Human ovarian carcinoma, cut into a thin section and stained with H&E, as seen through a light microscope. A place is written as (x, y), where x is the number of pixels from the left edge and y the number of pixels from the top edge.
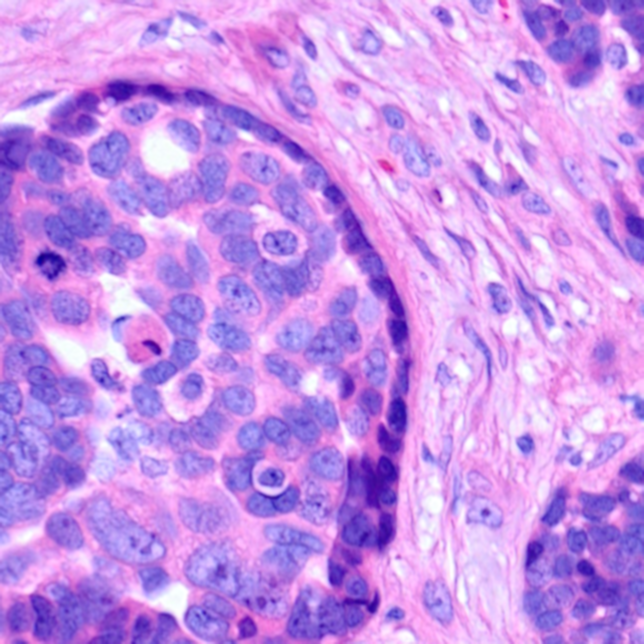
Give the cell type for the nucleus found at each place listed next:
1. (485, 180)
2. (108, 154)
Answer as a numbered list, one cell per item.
1. fibroblast
2. carcinoma cell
